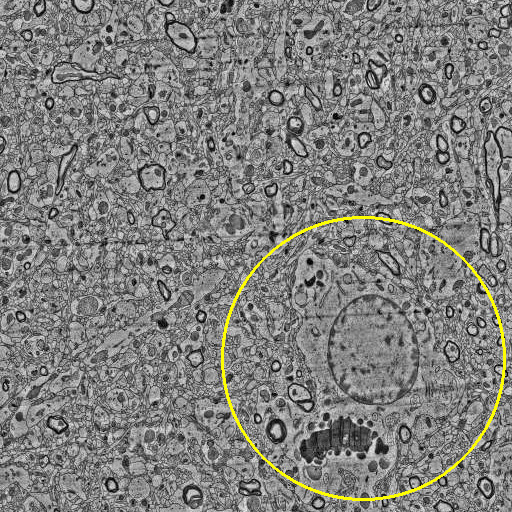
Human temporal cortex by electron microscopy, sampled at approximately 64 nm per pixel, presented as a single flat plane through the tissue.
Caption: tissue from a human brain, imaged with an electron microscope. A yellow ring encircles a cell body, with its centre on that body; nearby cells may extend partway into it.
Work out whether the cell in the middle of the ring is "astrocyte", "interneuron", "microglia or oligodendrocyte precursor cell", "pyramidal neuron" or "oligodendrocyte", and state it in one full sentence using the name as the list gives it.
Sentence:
In the picture, the cell that the yellow ring surrounds at its centre is an astrocyte.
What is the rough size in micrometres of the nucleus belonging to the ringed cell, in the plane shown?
The nucleus works out at approximately 7 by 6 micrometres in this plane.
